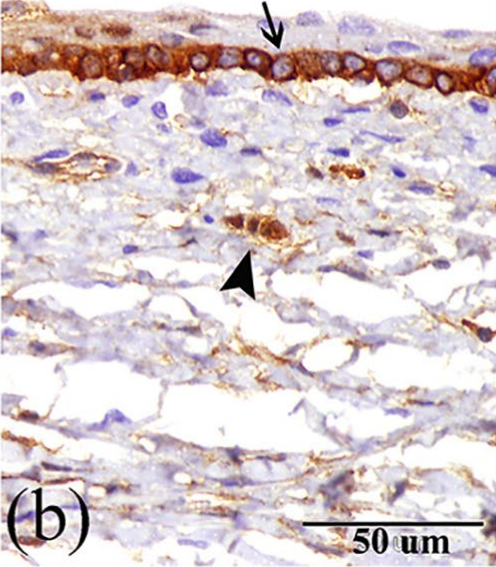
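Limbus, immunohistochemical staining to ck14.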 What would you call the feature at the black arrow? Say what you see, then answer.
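The arrow points to a continuous row of brown-stained cells with rounded nuclei. The row lies at the boundary between a pale upper cell layer and the underlying stroma. So: basal layer of the limbal epithelium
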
